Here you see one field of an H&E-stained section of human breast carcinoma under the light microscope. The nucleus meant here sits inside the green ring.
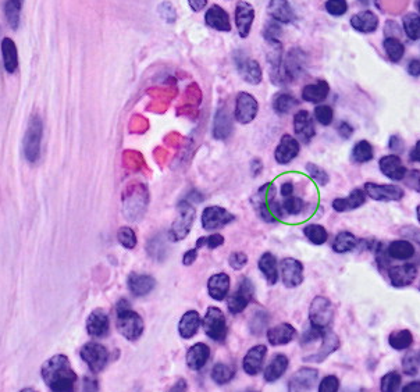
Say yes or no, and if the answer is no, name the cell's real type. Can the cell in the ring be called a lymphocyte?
Yes.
